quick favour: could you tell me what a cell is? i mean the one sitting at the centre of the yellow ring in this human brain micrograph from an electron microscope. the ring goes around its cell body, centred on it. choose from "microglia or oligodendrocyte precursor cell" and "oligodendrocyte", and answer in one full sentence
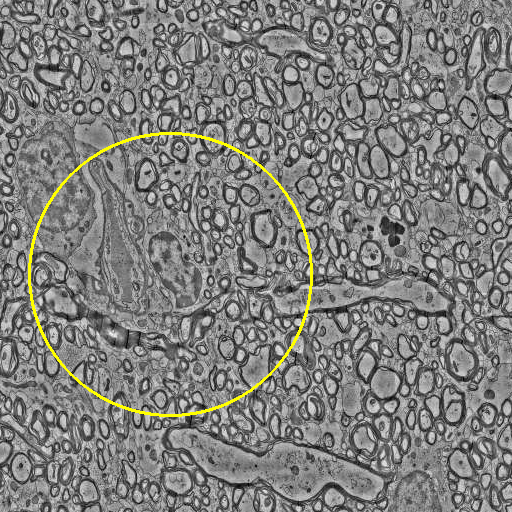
That's a microglial cell or oligodendrocyte precursor cell, the cell sitting at the centre of the yellow ring.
